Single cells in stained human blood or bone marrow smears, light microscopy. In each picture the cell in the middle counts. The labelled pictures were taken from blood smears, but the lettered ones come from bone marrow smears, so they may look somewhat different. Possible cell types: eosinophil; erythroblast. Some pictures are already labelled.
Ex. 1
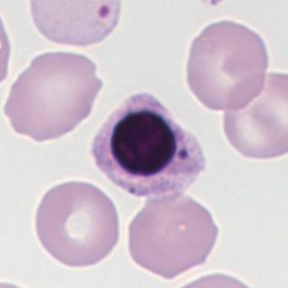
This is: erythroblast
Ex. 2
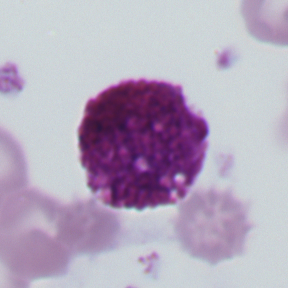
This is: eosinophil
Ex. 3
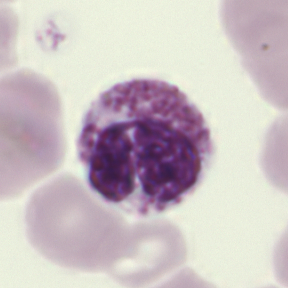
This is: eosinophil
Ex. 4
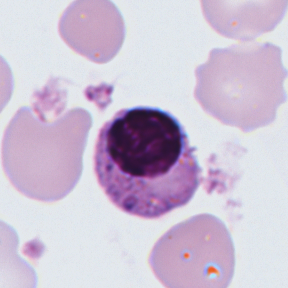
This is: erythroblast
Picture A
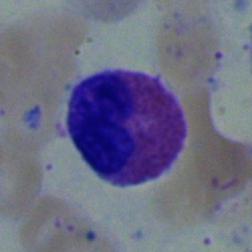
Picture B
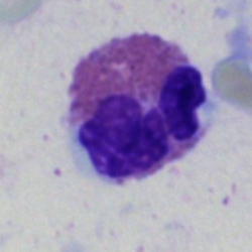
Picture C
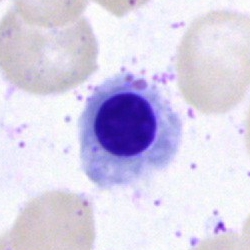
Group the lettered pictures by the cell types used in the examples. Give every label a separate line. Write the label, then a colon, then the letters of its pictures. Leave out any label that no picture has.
eosinophil: A, B
erythroblast: C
